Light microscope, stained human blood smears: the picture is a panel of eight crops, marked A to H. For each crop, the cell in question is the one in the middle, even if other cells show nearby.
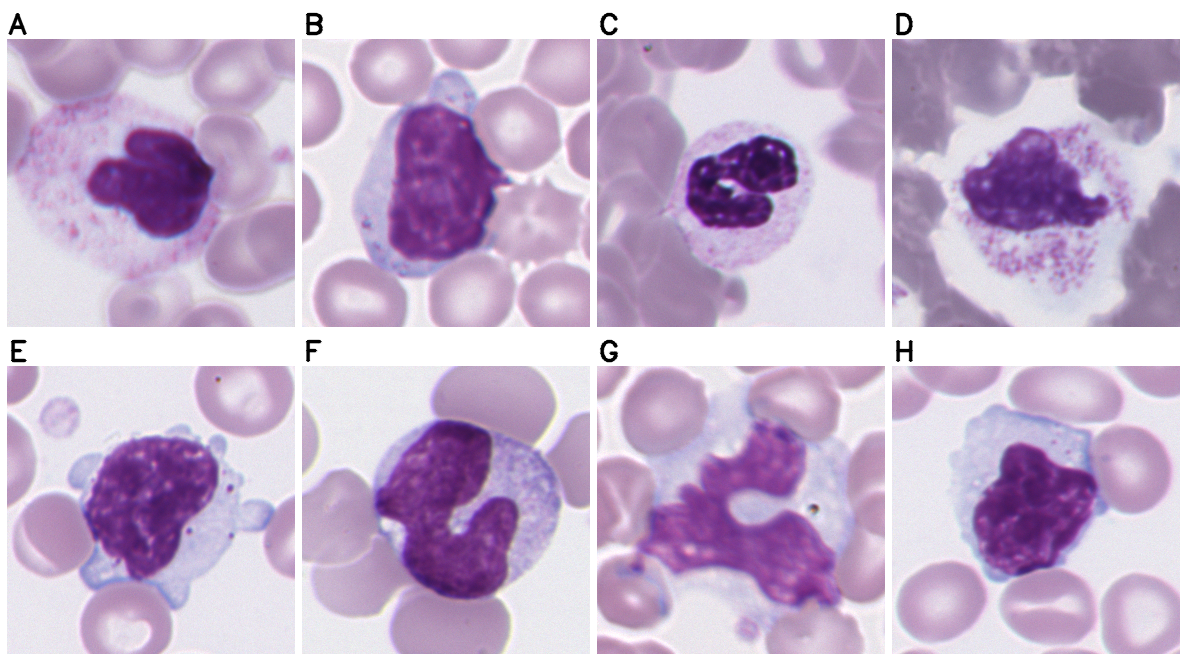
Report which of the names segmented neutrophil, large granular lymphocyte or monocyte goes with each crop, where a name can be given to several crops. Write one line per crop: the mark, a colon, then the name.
A: segmented neutrophil
B: large granular lymphocyte
C: segmented neutrophil
D: segmented neutrophil
E: large granular lymphocyte
F: monocyte
G: monocyte
H: large granular lymphocyte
